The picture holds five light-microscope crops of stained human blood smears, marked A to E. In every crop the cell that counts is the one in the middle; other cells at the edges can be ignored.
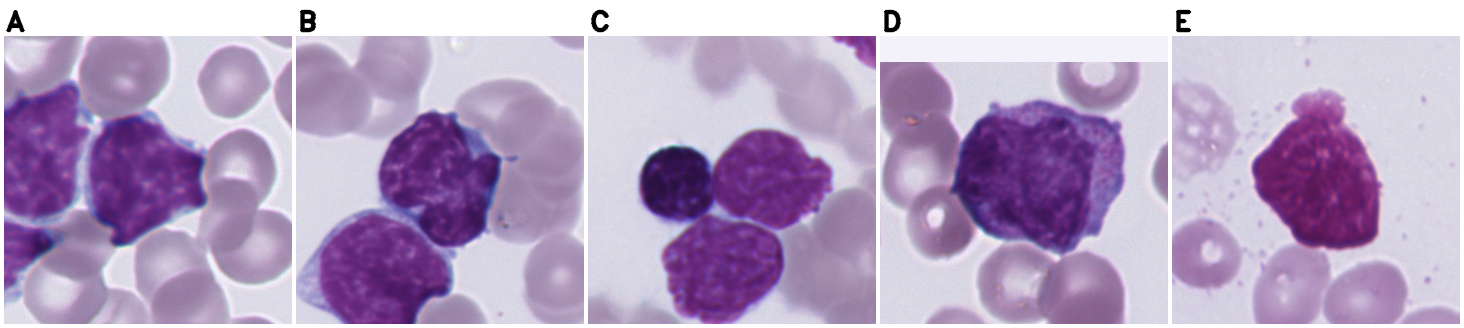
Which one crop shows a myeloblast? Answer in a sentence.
Of the crops given, a myeloblast is found in crop C.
